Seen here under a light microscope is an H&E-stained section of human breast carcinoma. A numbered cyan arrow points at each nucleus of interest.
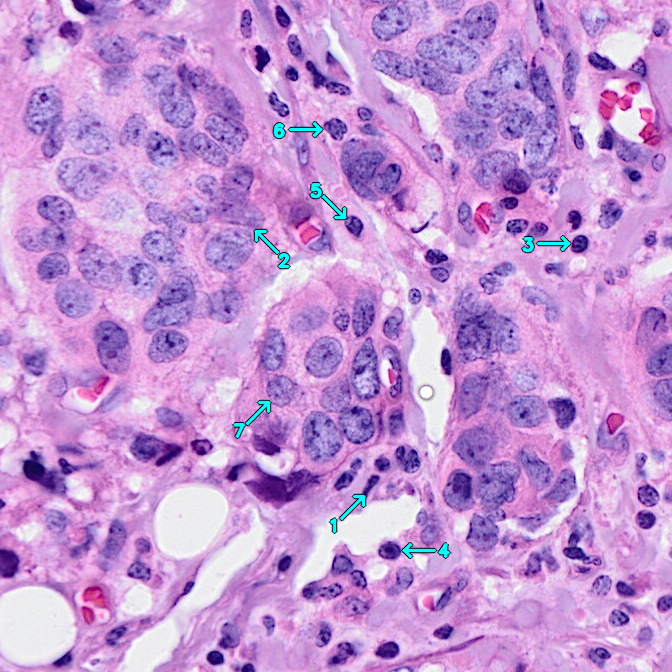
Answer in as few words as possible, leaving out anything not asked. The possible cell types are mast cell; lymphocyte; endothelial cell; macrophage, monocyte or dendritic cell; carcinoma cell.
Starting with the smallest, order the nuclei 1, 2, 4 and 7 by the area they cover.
1, 4, 7, 2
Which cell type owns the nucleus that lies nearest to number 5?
endothelial cell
